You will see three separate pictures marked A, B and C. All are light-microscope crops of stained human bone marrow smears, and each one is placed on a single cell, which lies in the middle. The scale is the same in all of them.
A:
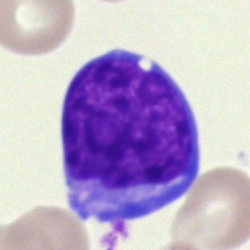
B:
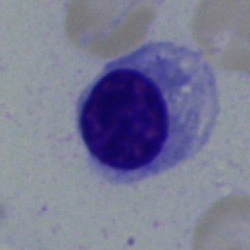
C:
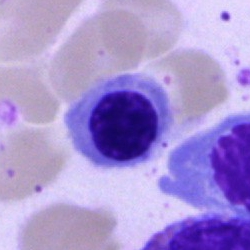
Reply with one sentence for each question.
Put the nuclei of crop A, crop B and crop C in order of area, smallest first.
The order is C, B, A, beginning with the smallest.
